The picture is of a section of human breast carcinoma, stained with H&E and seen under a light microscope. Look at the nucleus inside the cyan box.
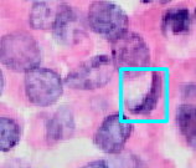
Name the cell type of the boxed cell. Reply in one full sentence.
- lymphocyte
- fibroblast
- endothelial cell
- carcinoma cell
In cell-type terms, the boxed cell is a carcinoma cell.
